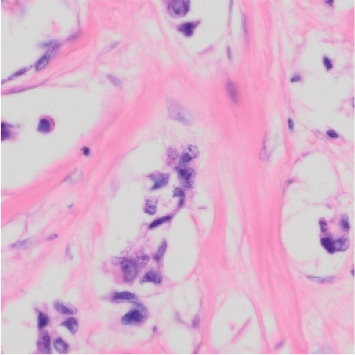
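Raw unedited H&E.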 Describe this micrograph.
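The clusters are loosely arranged rather than forming a continuous lining along the edges of the spaces. A few elongated, thin nuclei lie within the pink fibrous bands. Faint, wispy pale pink material fills parts of the clear spaces around the cell groups.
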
